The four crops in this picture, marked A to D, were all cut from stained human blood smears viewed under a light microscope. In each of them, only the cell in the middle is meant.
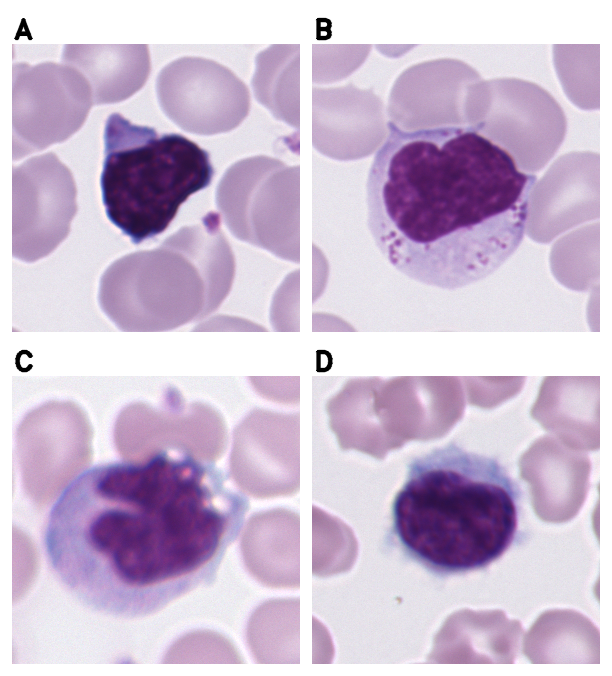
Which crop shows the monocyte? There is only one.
C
